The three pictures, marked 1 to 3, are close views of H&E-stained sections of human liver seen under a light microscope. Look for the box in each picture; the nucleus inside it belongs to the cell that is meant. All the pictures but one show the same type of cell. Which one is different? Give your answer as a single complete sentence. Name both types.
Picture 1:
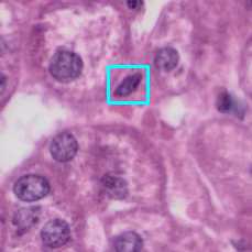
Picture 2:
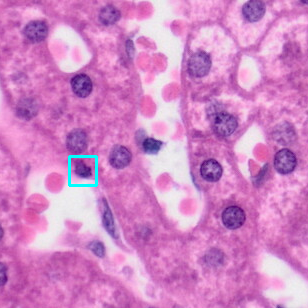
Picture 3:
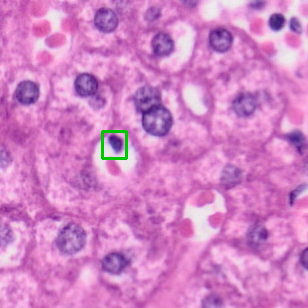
Unlike the rest, which show “fibroblasts or stellate cells”, picture 3 shows a lymphocyte.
